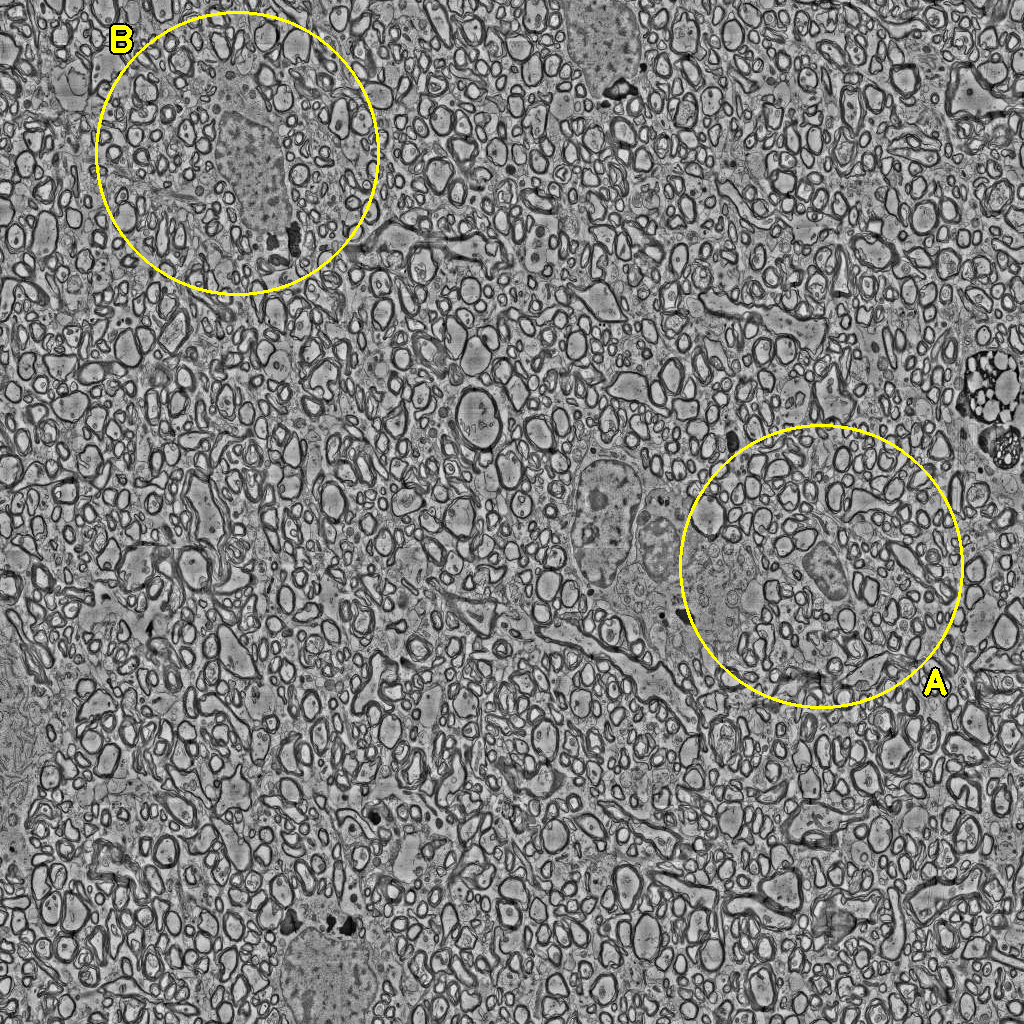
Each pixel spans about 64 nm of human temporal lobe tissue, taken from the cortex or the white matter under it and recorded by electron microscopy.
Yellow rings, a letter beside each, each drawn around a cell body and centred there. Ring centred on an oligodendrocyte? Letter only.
B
